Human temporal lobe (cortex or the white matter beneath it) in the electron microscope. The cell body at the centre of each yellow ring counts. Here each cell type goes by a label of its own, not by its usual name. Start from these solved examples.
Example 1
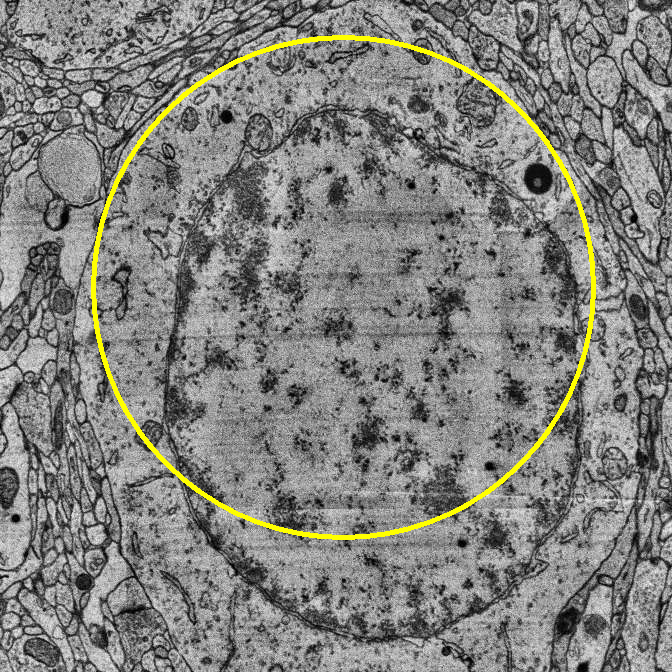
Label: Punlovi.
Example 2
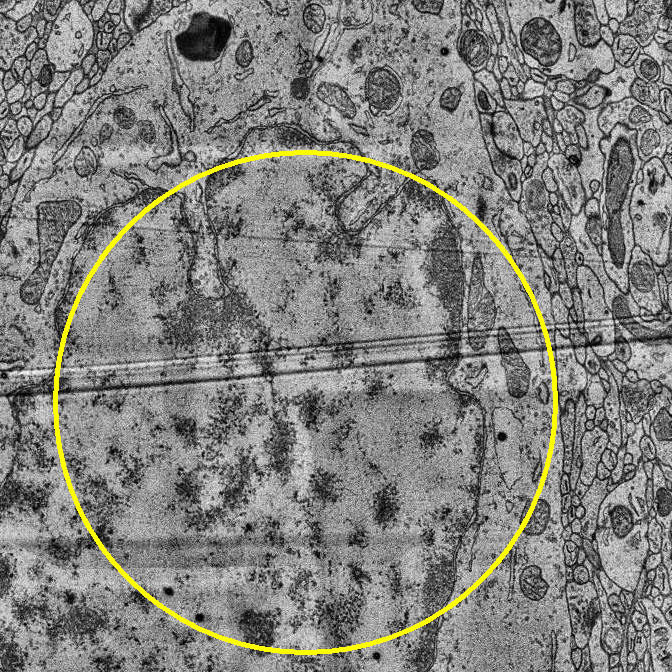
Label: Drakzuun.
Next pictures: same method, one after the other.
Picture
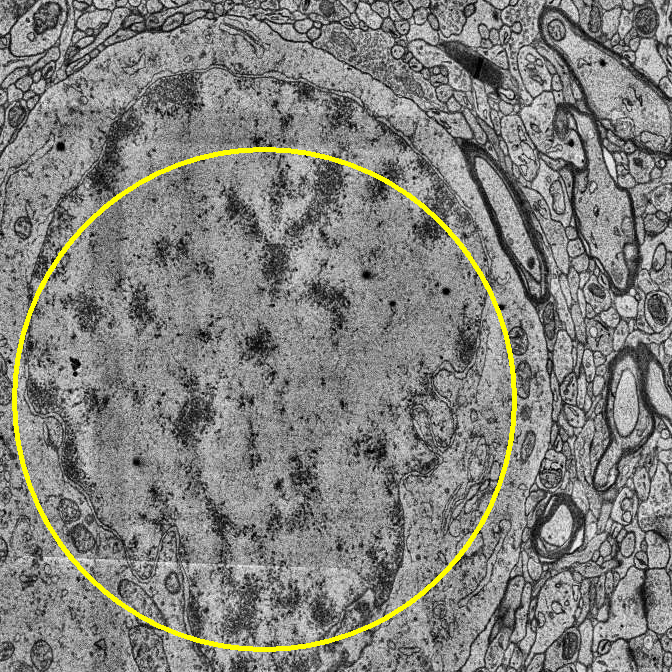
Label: Drakzuun.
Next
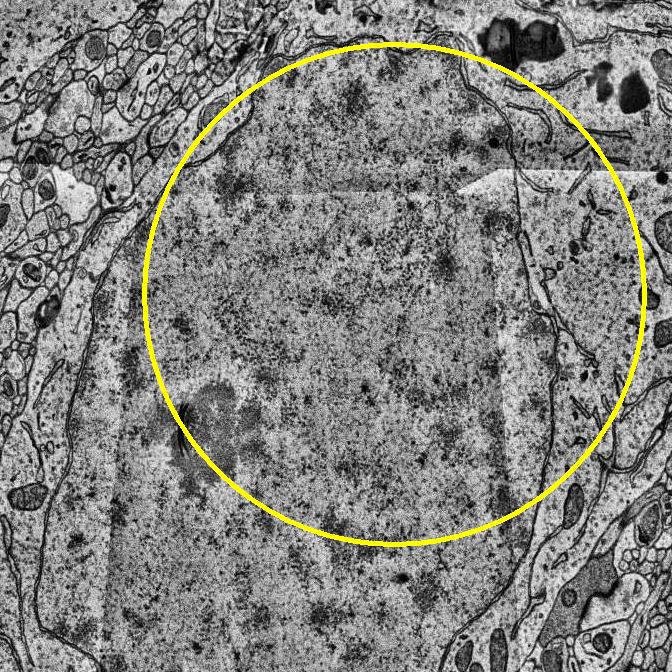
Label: Drakzuun.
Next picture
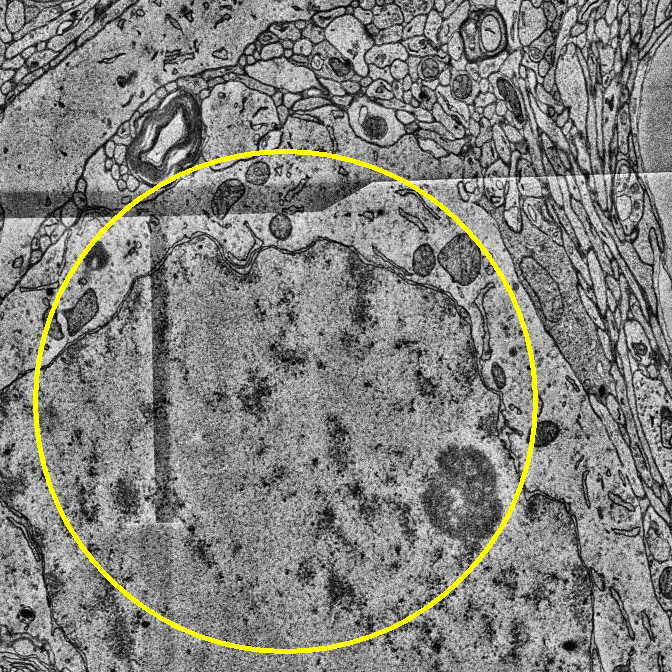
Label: Drakzuun.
